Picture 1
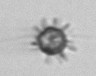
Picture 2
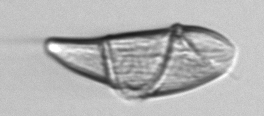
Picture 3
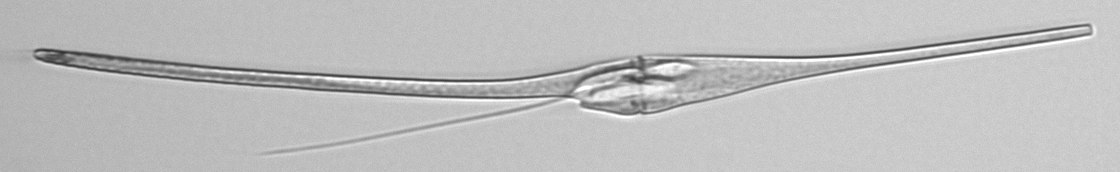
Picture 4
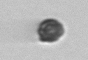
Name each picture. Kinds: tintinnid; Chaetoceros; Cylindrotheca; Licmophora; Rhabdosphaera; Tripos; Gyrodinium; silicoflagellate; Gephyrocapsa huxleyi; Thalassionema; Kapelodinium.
1: Rhabdosphaera
2: Gyrodinium
3: Tripos
4: Gephyrocapsa huxleyi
